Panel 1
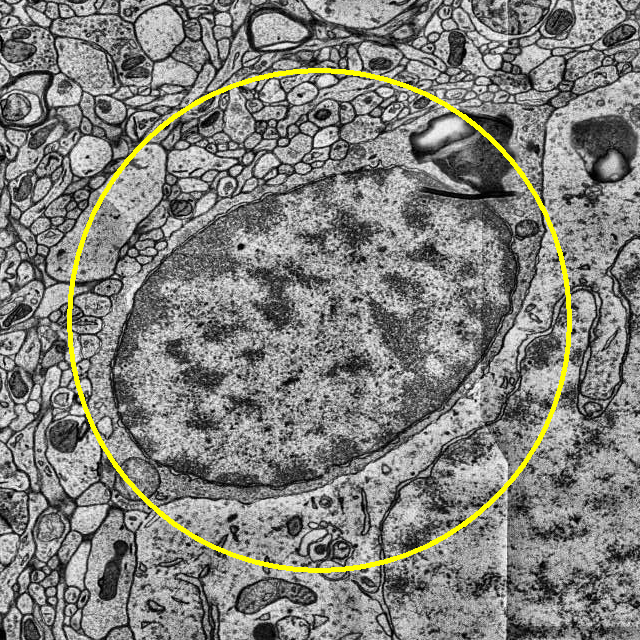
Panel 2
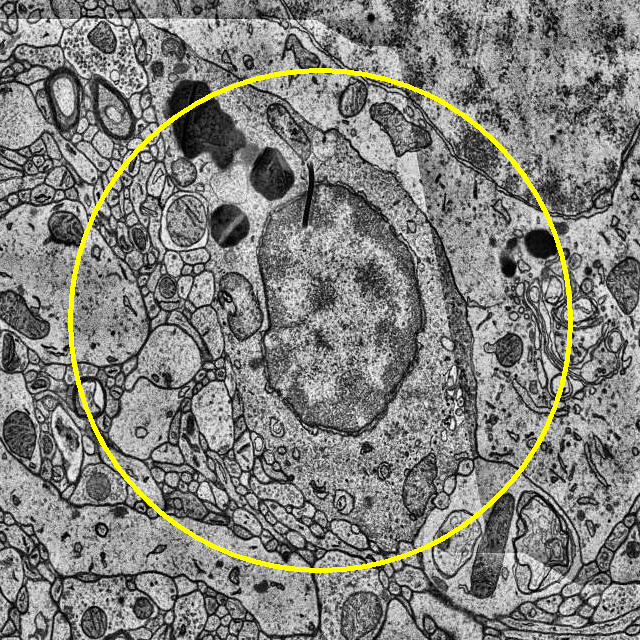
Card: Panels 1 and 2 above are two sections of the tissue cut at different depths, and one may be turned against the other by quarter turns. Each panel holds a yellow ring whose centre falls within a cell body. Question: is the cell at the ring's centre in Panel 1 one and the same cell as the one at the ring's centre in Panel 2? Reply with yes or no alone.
yes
